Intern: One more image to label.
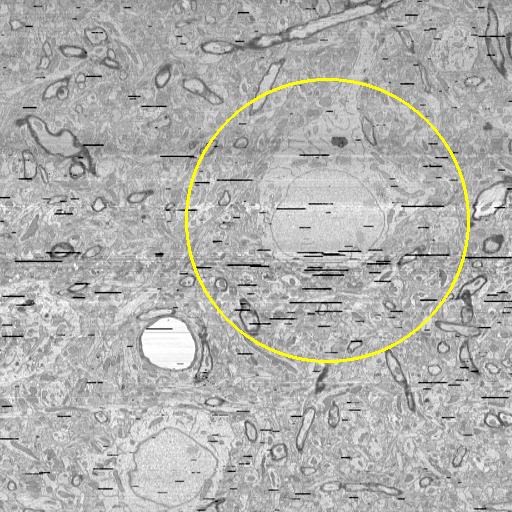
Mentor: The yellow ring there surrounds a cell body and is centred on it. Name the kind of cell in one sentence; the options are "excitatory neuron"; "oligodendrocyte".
The ring marks the cell body of an excitatory neuron.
